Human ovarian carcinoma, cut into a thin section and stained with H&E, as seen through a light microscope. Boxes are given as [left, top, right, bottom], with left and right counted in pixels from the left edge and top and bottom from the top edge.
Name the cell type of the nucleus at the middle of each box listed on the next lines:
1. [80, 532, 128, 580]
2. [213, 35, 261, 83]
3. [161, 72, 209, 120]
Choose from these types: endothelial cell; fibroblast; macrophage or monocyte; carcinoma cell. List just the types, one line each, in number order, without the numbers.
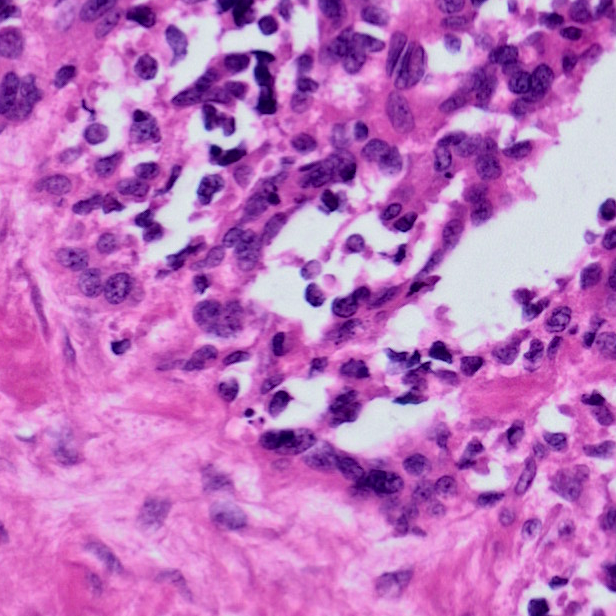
fibroblast
carcinoma cell
carcinoma cell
